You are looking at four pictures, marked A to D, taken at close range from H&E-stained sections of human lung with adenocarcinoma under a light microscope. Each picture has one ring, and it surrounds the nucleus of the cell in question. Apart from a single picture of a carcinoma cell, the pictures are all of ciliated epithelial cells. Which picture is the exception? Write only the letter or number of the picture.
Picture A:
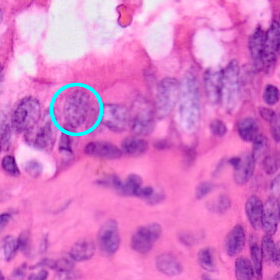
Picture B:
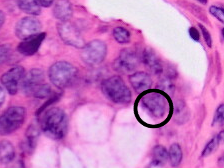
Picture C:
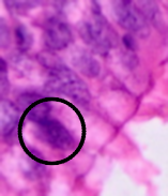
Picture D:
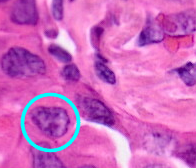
D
